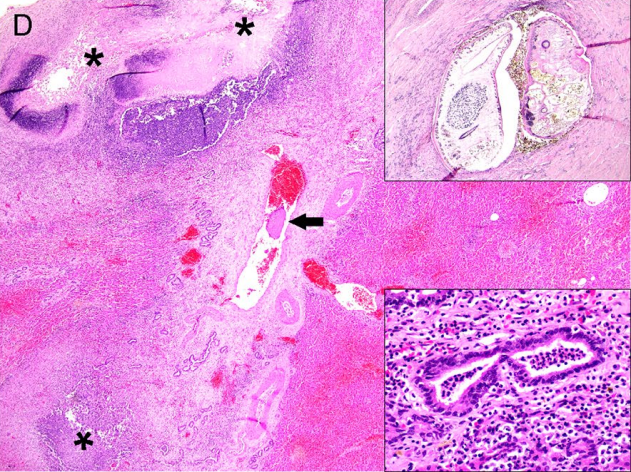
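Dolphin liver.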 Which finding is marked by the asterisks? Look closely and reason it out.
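Necrosis. These areas are rimmed by dense dark purple bands of cells.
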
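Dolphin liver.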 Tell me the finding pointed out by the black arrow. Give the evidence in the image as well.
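The arrow points into a vessel containing red blood and a pale pink plug. Red blood pools lie nearby in the tissue. On this evidence: venous thrombosis.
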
